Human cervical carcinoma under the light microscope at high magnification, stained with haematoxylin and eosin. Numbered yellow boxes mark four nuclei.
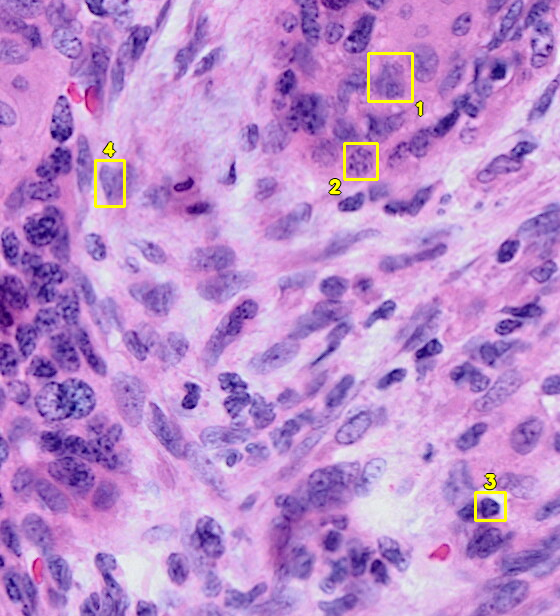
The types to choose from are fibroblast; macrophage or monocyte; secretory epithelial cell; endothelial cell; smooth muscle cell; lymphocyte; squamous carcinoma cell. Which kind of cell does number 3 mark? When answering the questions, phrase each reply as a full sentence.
Identified as a lymphocyte is the cell bearing the number 3.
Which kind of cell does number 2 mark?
Numbered cell 2 is a squamous carcinoma cell in this tissue section.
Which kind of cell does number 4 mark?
The cell referred to as 4 is a fibroblast.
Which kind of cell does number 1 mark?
The nucleus labelled 1 belongs to a squamous carcinoma cell.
